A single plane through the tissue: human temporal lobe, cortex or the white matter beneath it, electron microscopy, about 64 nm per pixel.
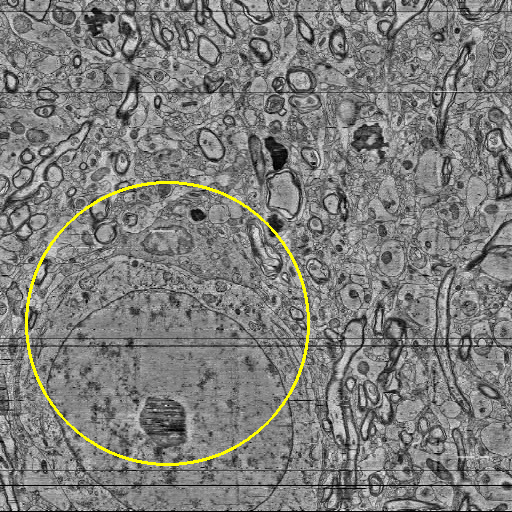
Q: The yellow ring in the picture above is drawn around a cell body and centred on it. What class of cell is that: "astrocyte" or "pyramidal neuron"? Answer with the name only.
pyramidal neuron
